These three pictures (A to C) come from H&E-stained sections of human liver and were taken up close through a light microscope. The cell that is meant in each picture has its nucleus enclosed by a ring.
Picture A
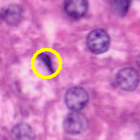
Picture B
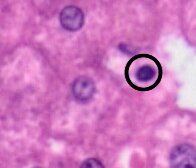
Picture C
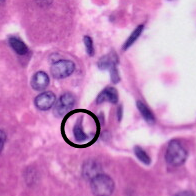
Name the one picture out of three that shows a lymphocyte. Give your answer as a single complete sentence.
The picture with the lymphocyte is B.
